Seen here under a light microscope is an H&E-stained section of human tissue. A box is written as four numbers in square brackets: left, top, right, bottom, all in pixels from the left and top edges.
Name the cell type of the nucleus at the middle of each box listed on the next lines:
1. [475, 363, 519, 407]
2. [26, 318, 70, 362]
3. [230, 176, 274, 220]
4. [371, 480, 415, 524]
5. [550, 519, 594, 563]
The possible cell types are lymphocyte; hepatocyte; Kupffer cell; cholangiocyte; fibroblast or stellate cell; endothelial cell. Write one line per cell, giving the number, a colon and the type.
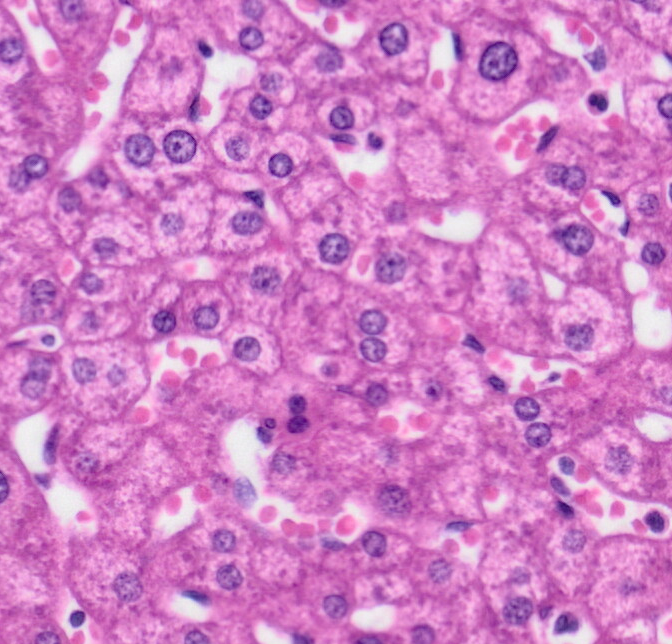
1: Kupffer cell
2: lymphocyte
3: endothelial cell
4: hepatocyte
5: hepatocyte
